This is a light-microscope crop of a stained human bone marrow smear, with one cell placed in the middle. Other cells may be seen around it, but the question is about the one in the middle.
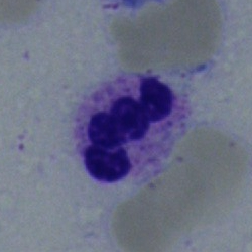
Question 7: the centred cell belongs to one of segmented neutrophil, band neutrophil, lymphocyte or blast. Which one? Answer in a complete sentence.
For this crop, the central cell is a segmented neutrophil.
